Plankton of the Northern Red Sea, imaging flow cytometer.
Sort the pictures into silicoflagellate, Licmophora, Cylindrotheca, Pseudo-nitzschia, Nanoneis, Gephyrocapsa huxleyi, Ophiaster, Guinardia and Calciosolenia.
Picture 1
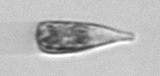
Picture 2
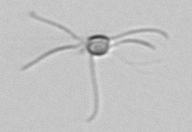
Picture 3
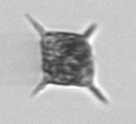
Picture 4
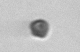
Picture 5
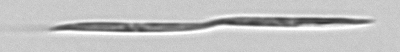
Licmophora: 1
Ophiaster: 2
Silicoflagellates: 3
Gephyrocapsa huxleyi: 4
Pseudo-nitzschia: 5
